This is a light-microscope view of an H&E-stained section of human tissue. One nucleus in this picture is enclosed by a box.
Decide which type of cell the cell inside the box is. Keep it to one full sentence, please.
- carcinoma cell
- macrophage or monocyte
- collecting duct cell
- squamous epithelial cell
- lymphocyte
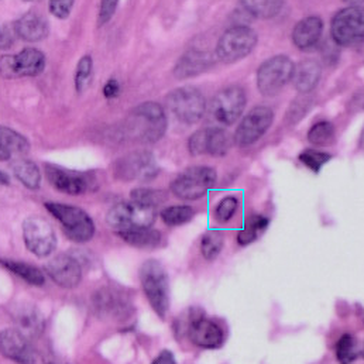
Right, so the cell inside the box is a macrophage or monocyte, to answer that.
